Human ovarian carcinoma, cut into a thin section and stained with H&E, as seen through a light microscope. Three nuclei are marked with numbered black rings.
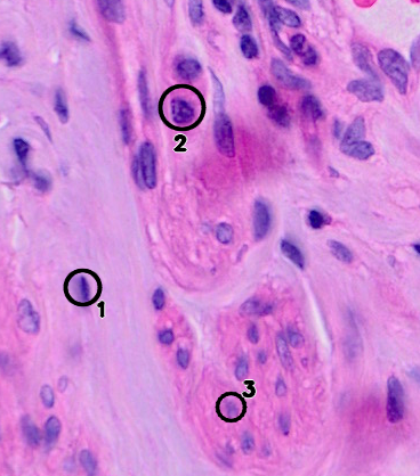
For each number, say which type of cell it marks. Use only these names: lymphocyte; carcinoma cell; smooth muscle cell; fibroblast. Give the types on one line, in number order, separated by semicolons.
fibroblast; lymphocyte; smooth muscle cell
